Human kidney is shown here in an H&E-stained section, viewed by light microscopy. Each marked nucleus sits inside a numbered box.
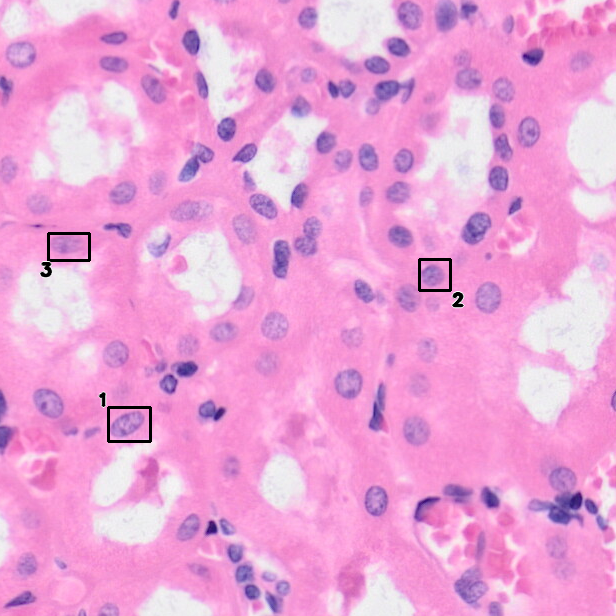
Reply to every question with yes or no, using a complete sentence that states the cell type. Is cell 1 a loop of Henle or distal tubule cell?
No, cell 1 is to be read as a proximal tubule cell, not a loop of Henle or distal tubule cell.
